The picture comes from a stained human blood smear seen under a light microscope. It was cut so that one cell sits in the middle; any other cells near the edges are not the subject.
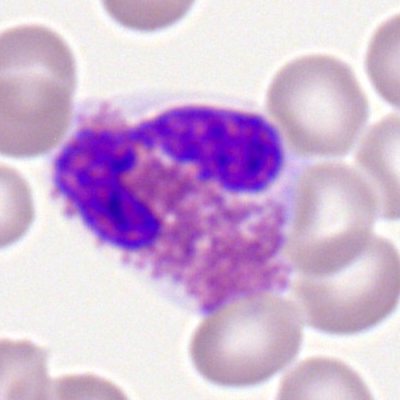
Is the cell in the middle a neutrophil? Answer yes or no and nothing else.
no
